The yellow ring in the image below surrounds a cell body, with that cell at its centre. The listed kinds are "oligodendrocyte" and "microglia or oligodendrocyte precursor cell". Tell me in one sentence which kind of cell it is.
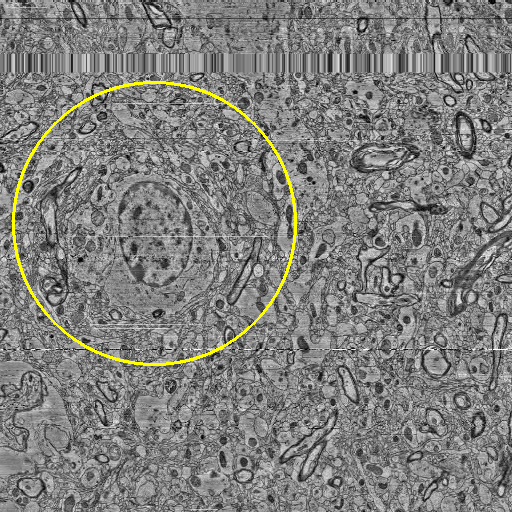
The centre of the ring holds a microglial cell or oligodendrocyte precursor cell.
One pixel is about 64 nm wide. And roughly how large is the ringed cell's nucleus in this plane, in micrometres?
The ringed cell's nucleus is roughly 7 by 5 micrometres and clearly longer than it is wide in this plane.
